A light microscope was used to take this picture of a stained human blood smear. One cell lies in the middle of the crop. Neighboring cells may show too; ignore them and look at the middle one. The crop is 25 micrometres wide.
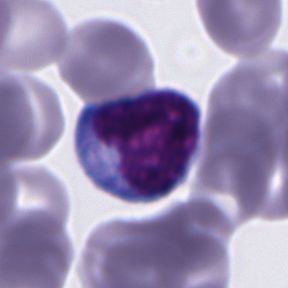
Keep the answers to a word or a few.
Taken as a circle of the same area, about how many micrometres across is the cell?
11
